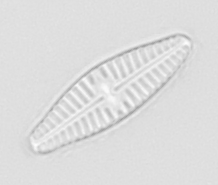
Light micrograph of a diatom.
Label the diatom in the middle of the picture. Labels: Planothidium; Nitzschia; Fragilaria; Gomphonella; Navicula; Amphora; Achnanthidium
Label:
Planothidium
